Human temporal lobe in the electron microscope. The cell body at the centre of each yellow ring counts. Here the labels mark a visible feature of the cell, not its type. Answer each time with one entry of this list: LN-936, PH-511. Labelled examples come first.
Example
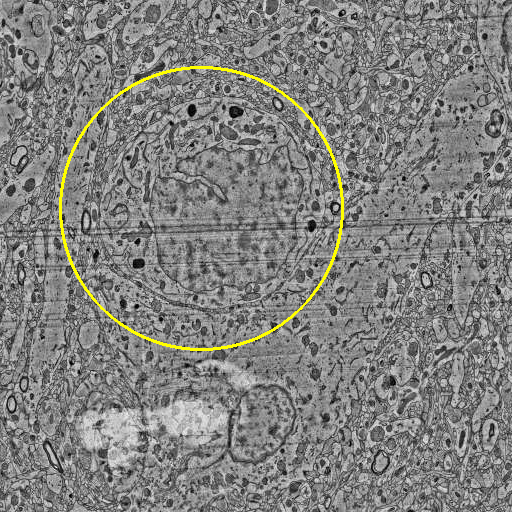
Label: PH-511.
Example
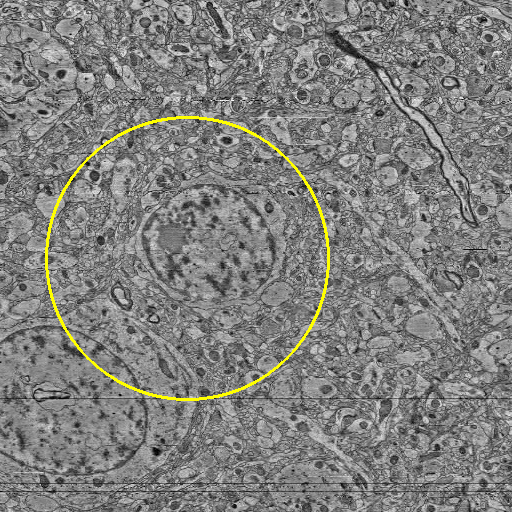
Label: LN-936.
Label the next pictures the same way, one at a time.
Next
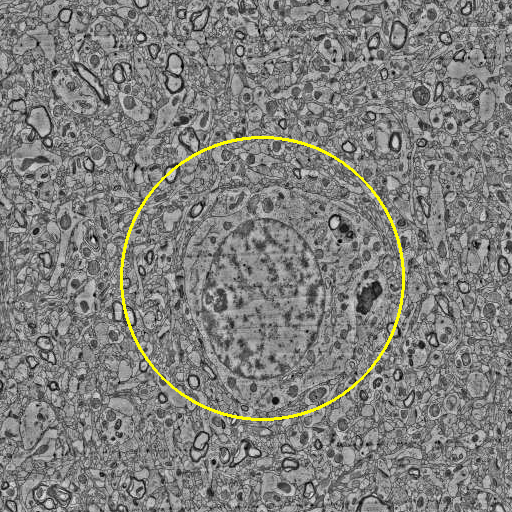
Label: LN-936.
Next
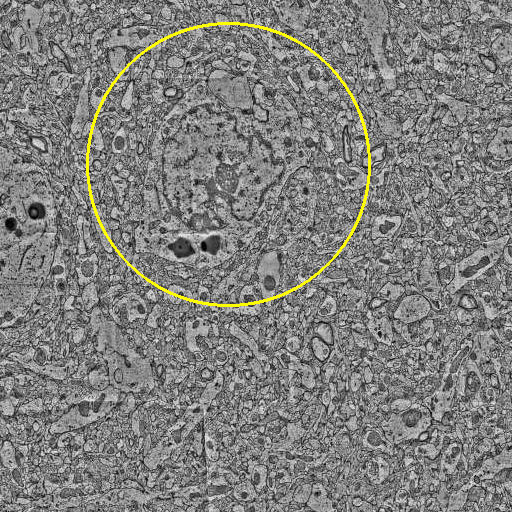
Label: PH-511.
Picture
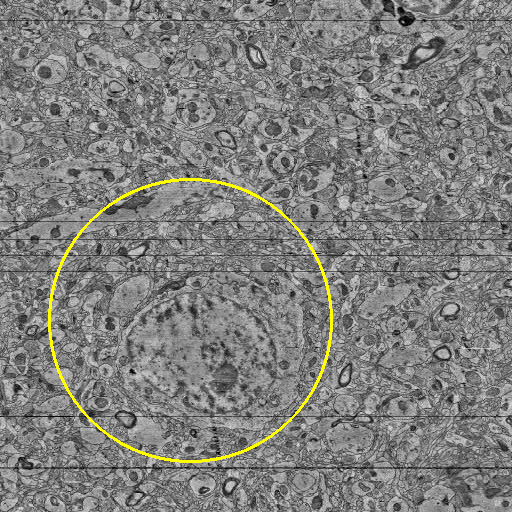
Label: LN-936.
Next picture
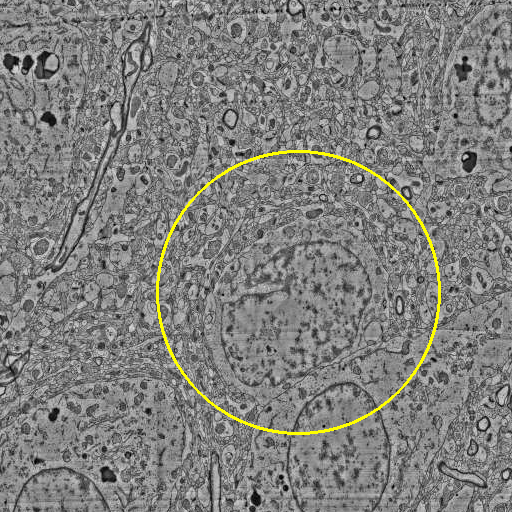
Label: PH-511.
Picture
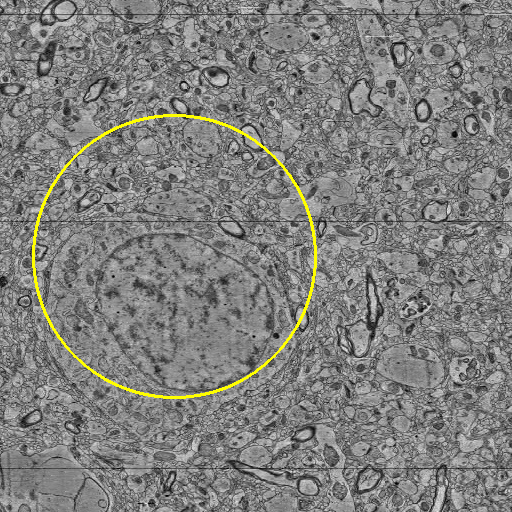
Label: LN-936.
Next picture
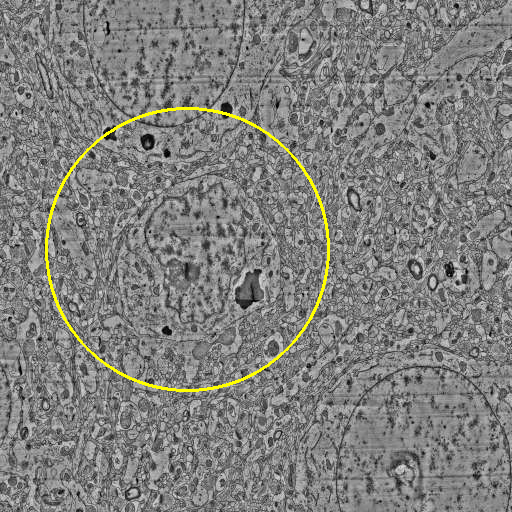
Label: PH-511.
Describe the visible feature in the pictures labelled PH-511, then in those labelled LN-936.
In PH-511: deeply folded or indented nuclear envelopes. In LN-936: smooth nuclear envelopes without deep folds.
